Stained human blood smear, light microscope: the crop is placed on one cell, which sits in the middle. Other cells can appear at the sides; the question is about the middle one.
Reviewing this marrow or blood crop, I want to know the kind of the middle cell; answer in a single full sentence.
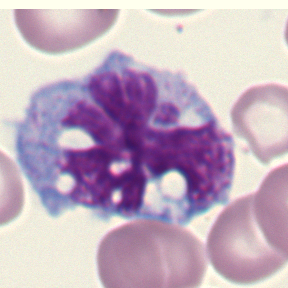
The cell of interest, located centrally, is a monocyte.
